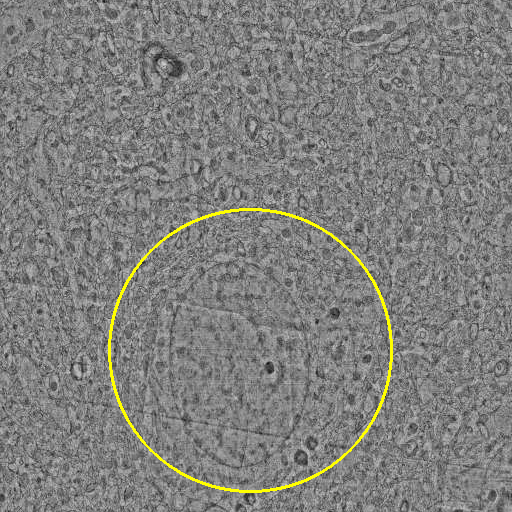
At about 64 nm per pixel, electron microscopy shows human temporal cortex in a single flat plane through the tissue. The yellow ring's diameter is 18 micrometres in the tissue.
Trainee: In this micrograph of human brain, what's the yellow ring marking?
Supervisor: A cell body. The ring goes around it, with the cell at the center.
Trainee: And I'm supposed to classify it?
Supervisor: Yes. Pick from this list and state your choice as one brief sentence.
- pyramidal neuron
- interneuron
The cell at the ring's center is a pyramidal neuron.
